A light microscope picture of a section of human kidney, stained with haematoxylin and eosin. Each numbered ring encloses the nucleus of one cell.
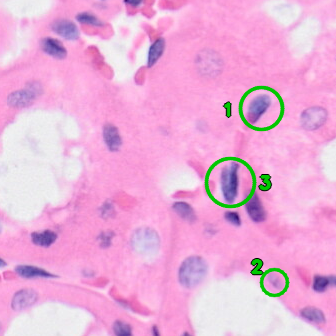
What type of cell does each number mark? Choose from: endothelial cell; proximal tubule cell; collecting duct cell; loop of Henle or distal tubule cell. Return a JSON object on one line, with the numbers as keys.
{"1": "endothelial cell", "2": "loop of Henle or distal tubule cell", "3": "endothelial cell"}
